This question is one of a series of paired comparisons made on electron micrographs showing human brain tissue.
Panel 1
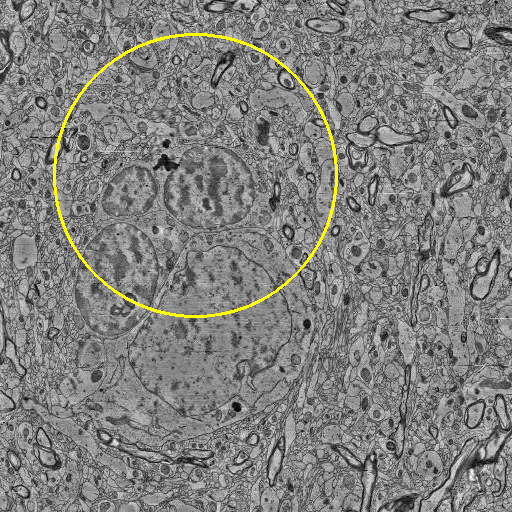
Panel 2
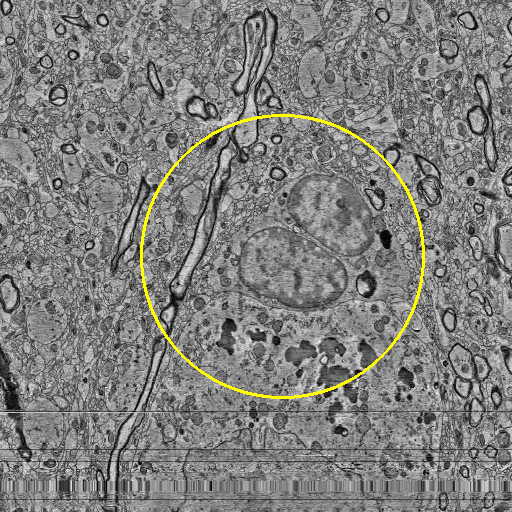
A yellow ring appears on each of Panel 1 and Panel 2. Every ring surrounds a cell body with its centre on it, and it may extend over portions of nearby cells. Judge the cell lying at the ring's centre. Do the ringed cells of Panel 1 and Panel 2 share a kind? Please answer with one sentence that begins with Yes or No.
Yes, the ring-centre cell in Panel 1 and the one in Panel 2 are of one kind.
